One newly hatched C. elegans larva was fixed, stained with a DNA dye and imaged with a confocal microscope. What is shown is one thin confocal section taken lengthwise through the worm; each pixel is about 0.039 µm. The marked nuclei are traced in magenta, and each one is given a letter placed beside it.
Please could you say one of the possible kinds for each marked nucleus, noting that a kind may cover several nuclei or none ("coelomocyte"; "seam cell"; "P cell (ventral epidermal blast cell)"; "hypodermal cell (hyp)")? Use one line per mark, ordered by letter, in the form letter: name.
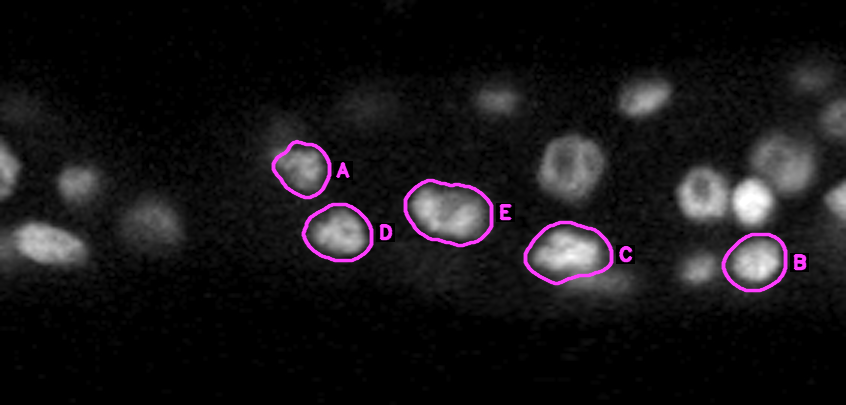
A: hypodermal cell (hyp)
B: coelomocyte
C: P cell (ventral epidermal blast cell)
D: P cell (ventral epidermal blast cell)
E: seam cell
